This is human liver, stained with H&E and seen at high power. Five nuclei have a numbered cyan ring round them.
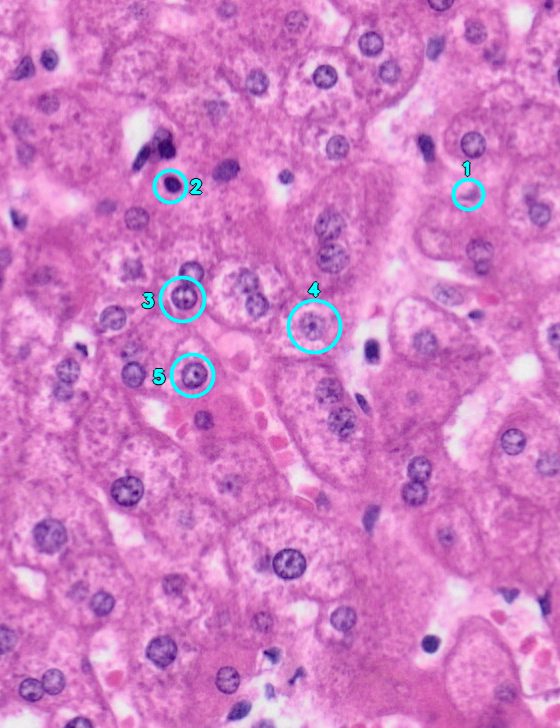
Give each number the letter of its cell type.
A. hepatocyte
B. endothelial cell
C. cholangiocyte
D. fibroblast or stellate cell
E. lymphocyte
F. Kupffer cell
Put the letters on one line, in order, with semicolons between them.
B; E; A; A; A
